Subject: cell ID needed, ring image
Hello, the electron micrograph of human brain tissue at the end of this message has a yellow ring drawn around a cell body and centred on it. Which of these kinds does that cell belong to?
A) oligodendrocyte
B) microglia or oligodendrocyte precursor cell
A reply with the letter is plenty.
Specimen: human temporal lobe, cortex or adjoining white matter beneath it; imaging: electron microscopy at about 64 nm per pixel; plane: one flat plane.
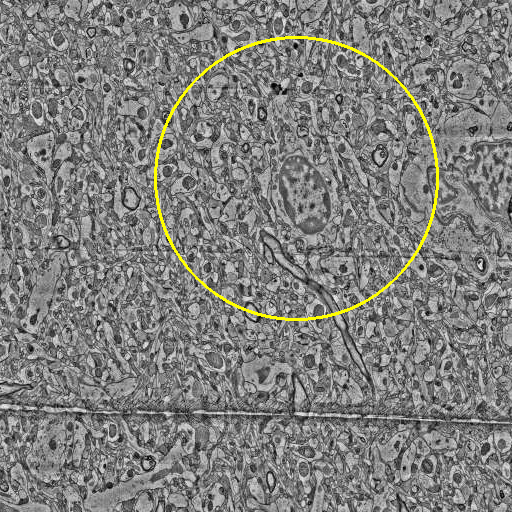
B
